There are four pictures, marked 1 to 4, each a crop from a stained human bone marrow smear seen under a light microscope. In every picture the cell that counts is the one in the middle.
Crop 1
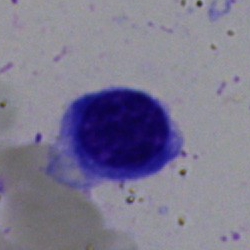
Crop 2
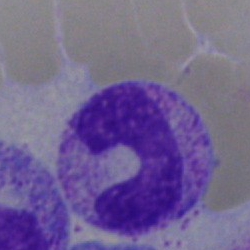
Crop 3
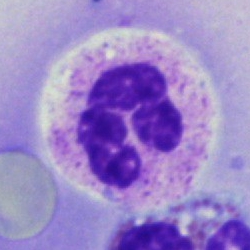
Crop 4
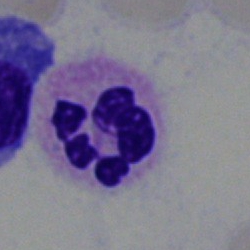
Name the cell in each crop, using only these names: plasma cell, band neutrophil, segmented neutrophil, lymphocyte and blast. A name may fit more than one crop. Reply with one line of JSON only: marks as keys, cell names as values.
{"1": "lymphocyte", "2": "band neutrophil", "3": "segmented neutrophil", "4": "segmented neutrophil"}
